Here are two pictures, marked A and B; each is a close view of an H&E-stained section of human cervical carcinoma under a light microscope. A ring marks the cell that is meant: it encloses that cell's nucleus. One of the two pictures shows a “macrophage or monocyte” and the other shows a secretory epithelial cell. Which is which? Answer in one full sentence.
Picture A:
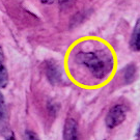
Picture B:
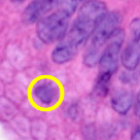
Picture A is of a “macrophage or monocyte”, and picture B is of a secretory epithelial cell.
